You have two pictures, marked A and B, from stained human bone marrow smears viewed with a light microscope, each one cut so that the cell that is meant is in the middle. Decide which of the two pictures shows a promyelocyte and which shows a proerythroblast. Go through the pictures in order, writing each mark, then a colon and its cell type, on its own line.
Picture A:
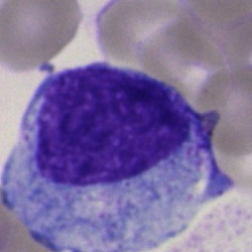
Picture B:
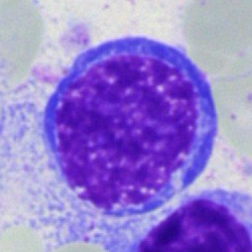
A: promyelocyte
B: proerythroblast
